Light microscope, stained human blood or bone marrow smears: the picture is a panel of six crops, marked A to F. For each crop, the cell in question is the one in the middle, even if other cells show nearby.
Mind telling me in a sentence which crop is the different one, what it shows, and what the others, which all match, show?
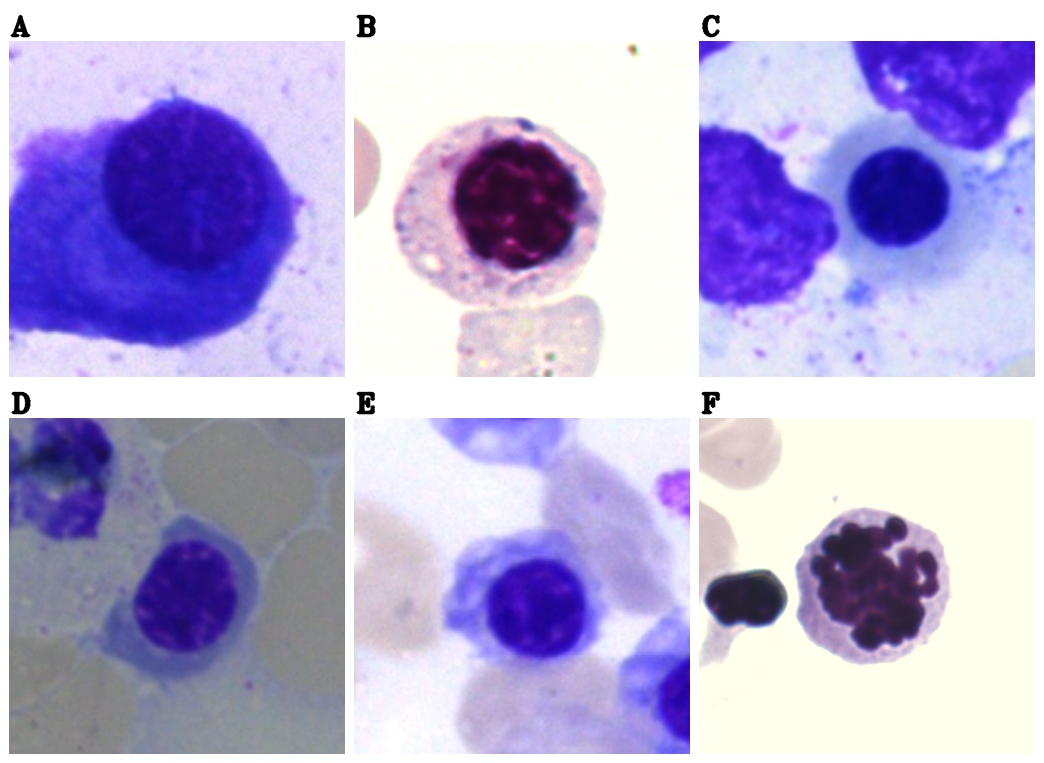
Crop A does not match the others; it shows a plasma cell, and they show erythroblasts.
